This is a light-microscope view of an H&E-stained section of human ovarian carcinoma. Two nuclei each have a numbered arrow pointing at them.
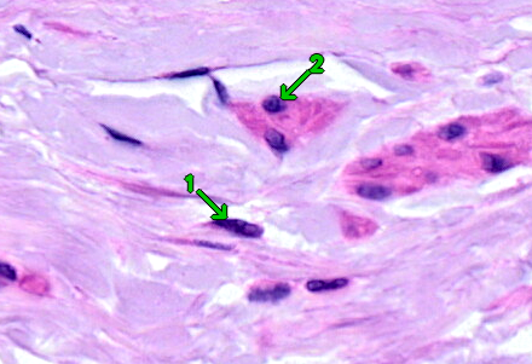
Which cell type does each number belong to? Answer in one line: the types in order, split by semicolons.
fibroblast; smooth muscle cell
